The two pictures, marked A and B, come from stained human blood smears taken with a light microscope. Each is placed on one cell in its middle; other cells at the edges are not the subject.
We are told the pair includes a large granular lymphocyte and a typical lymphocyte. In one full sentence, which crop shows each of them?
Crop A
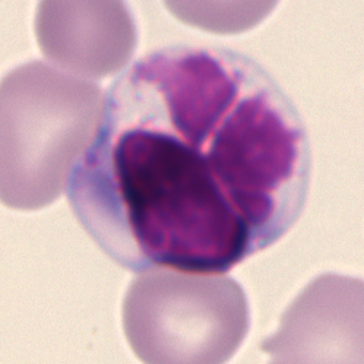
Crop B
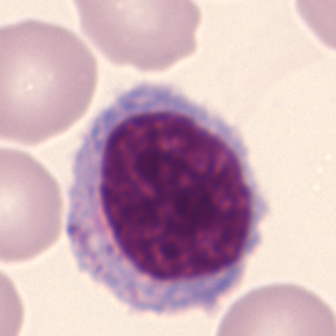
Identified in crop A is a large granular lymphocyte, with a typical lymphocyte identified in crop B.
